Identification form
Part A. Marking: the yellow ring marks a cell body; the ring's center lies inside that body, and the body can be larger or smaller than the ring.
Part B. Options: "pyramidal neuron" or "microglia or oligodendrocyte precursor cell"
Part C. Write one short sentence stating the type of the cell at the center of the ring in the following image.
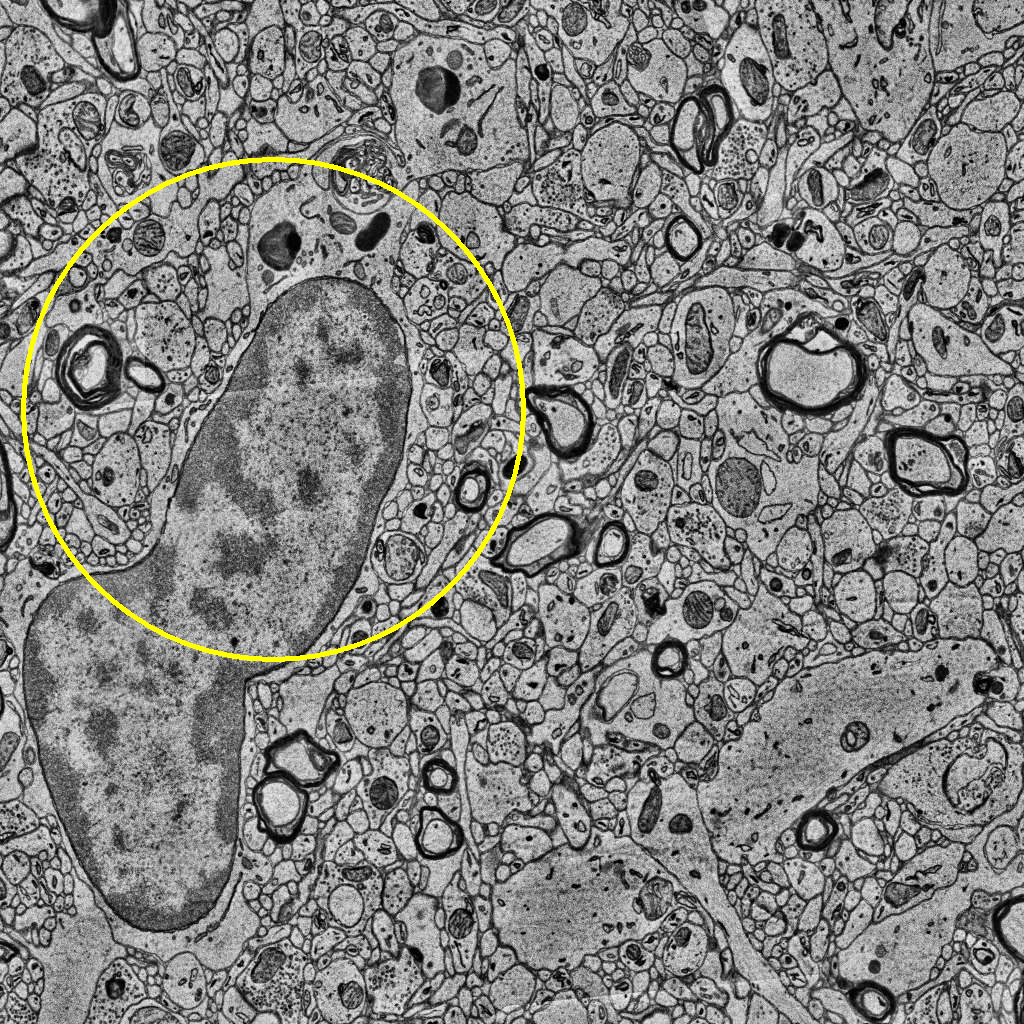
The center of the ring holds a microglial cell or oligodendrocyte precursor cell.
